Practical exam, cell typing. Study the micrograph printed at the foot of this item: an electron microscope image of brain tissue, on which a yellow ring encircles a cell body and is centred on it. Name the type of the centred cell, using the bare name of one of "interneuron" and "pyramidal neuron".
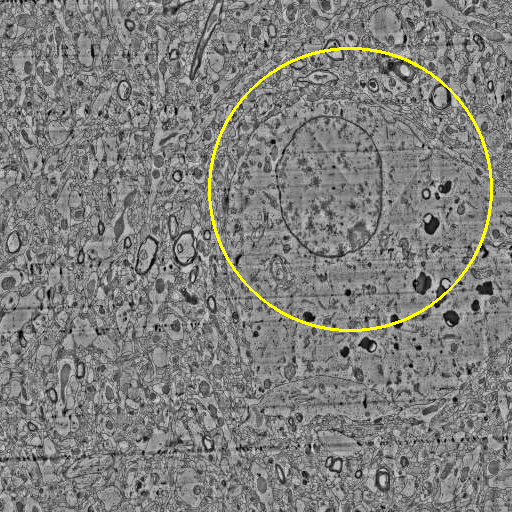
pyramidal neuron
